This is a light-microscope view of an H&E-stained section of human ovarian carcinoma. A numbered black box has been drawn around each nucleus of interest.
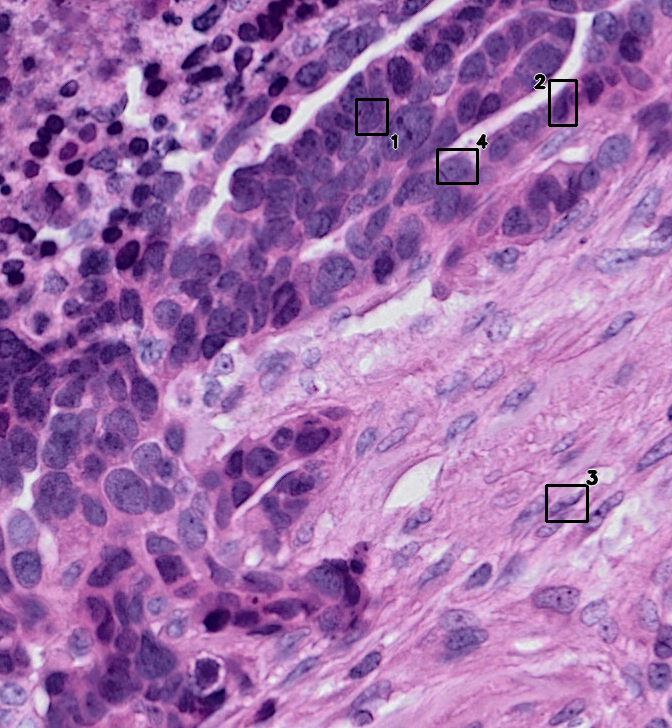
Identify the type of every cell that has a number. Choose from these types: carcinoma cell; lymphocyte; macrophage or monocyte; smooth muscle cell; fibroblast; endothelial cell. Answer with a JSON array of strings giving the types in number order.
["carcinoma cell", "carcinoma cell", "fibroblast", "carcinoma cell"]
